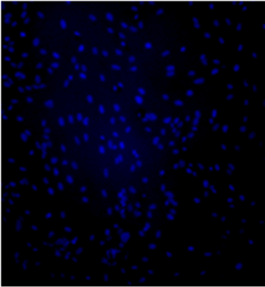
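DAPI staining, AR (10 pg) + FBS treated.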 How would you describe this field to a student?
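Fluorescence view of a cultured cell layer in which only the nuclei are lit, blue on a black background. The nuclei are small, oval to round and of fairly even size, scattered densely across the whole field and mostly lying apart from one another rather than overlapping. No cytoplasm, cell borders or processes are visible, so the cells are seen only through their nuclei. The nuclei appear crowded toward the centre of the field, where a faint diffuse blue haze lies behind them, and somewhat sparser toward the edges.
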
